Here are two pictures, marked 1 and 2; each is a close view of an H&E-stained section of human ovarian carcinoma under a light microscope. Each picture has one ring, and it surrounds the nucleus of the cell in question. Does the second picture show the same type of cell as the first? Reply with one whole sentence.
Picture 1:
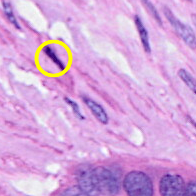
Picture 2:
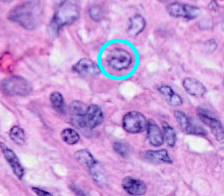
Yes; the cells in both pictures are fibroblasts.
